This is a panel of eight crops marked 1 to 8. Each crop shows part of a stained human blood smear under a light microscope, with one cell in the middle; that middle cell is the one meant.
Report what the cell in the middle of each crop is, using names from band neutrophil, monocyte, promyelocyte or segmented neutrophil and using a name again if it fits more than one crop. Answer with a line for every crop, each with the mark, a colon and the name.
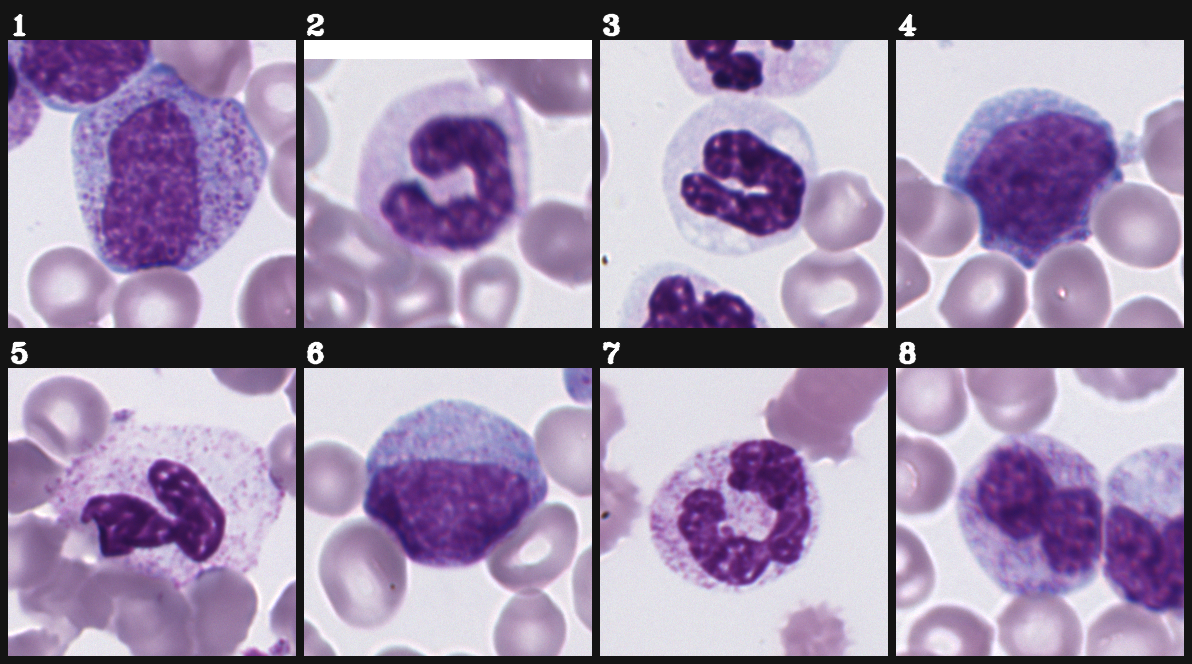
1: promyelocyte
2: band neutrophil
3: band neutrophil
4: promyelocyte
5: segmented neutrophil
6: promyelocyte
7: segmented neutrophil
8: band neutrophil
